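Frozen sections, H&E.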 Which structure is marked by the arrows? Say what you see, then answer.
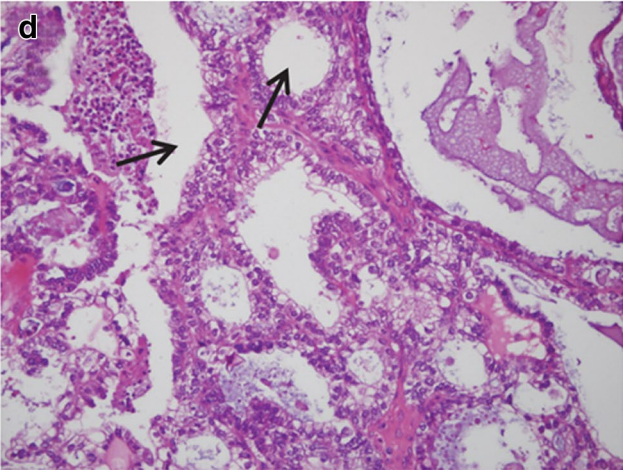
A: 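Tubulocystic aspect. Many round and elongated empty spaces of varying size. The spaces are lined by tumour cells. Larger cystic spaces lie beside small tubules.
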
